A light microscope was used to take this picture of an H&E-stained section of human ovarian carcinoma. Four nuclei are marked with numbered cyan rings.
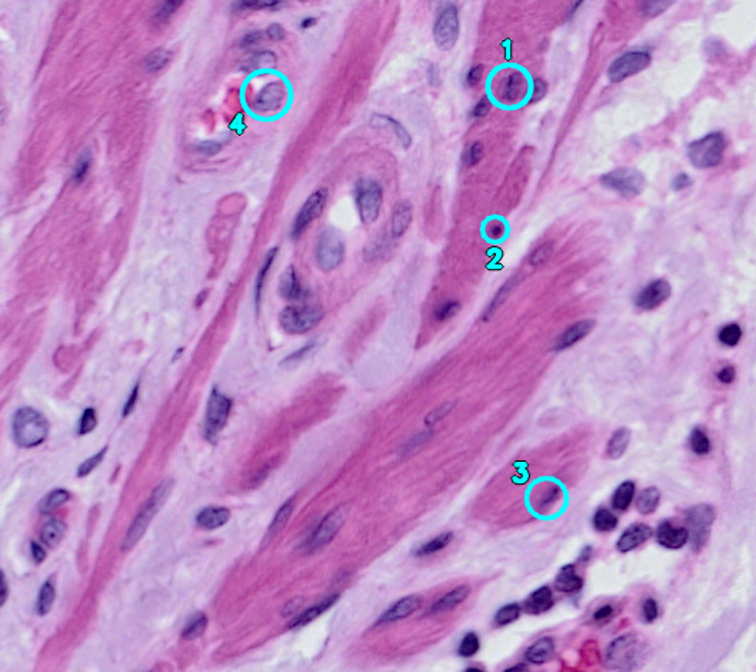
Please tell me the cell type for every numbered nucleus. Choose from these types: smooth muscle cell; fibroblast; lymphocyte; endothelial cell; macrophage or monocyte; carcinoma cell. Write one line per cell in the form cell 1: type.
cell 1: smooth muscle cell
cell 2: smooth muscle cell
cell 3: smooth muscle cell
cell 4: endothelial cell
